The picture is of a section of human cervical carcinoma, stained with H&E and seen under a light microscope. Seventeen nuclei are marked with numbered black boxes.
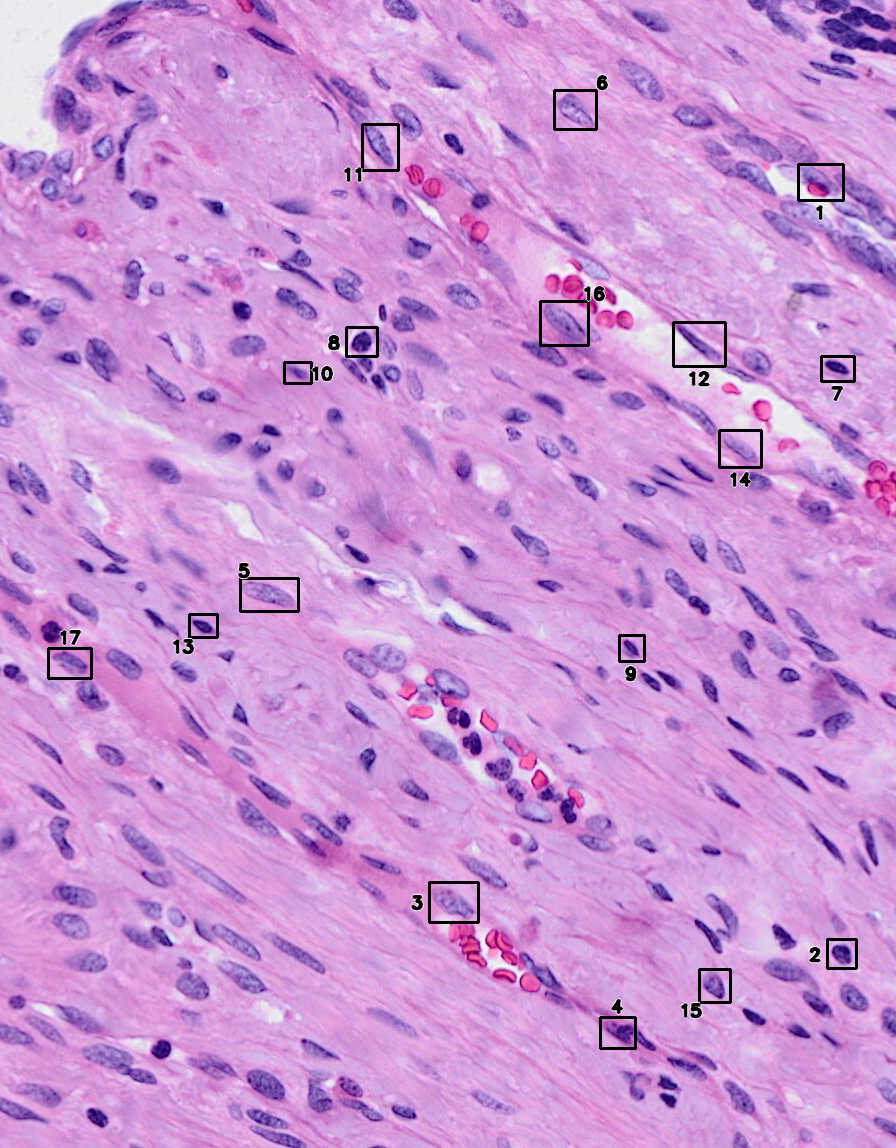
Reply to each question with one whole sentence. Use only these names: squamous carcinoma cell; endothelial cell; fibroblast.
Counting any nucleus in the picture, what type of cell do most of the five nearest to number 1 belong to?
Of the five nuclei nearest to number 1, most belong to endothelial cells.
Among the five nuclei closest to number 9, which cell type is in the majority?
Fibroblasts account for more than half of the five nuclei nearest to number 9.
